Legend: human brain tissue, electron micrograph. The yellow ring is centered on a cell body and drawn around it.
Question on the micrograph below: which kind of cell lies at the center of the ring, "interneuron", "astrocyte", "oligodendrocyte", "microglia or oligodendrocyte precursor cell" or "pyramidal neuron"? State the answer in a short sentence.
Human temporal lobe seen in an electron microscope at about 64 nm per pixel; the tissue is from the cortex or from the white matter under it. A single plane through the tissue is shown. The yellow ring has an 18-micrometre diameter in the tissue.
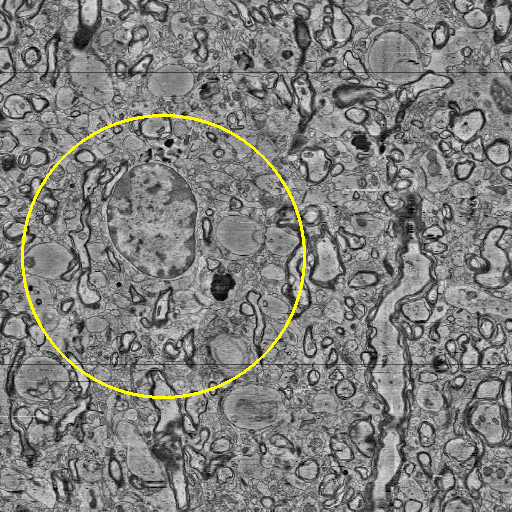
At the center of the ring lies a microglial cell or oligodendrocyte precursor cell.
